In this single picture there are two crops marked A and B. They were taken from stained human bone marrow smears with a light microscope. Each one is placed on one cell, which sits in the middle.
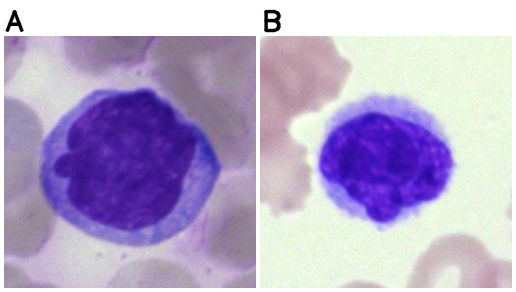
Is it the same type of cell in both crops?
yes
